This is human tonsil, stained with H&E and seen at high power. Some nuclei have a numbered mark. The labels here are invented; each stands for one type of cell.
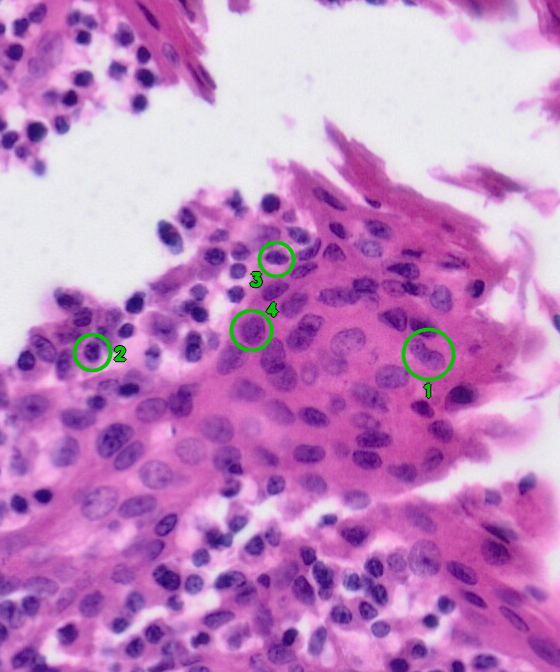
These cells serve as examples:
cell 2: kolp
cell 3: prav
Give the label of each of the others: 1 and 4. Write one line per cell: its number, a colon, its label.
1: prav
4: prav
